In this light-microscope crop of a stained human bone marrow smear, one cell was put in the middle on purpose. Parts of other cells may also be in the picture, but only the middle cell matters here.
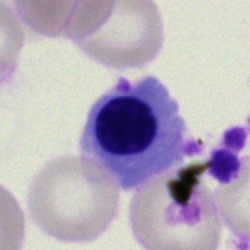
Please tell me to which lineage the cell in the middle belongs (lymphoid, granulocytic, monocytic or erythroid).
erythroid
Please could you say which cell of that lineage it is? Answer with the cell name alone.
erythroblast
